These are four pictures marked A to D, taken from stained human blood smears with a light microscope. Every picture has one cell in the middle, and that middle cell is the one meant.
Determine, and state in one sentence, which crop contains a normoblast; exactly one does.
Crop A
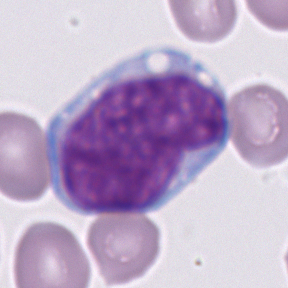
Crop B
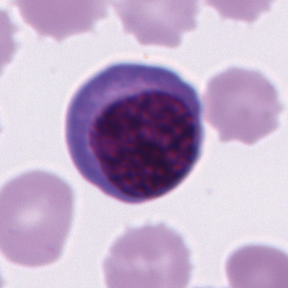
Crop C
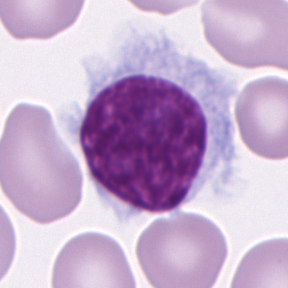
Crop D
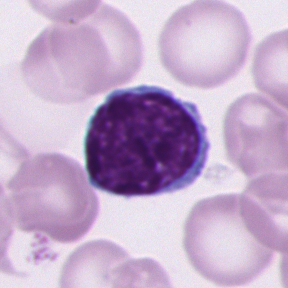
Among the crops given, only crop B shows a normoblast.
